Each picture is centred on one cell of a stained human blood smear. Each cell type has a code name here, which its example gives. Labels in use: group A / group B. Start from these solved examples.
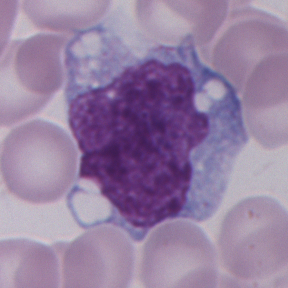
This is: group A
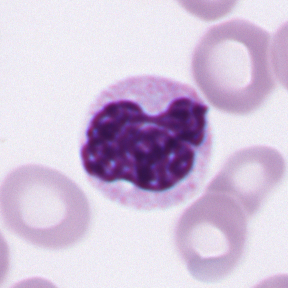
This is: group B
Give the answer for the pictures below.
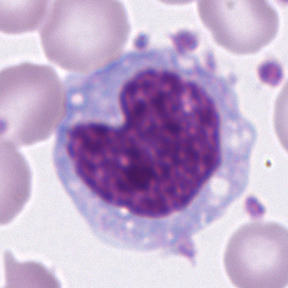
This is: group A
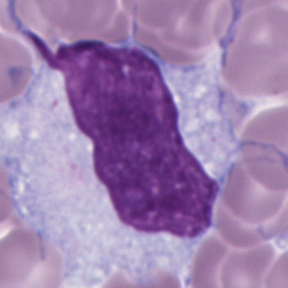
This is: group A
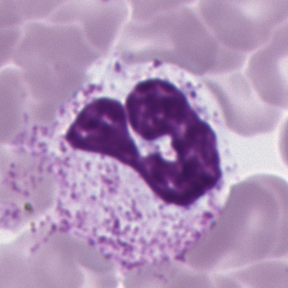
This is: group B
